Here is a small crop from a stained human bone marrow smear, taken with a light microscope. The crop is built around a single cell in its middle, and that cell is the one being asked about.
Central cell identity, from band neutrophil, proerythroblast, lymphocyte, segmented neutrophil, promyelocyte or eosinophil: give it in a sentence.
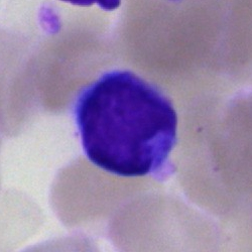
Classified as a lymphocyte is the cell in the middle of this crop.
